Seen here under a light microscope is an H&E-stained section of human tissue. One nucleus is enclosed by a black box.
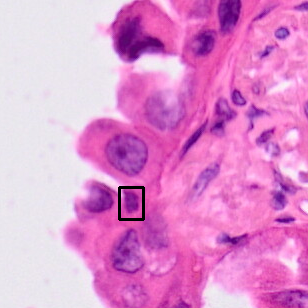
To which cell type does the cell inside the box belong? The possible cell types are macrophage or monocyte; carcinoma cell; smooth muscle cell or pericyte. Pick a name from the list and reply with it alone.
carcinoma cell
